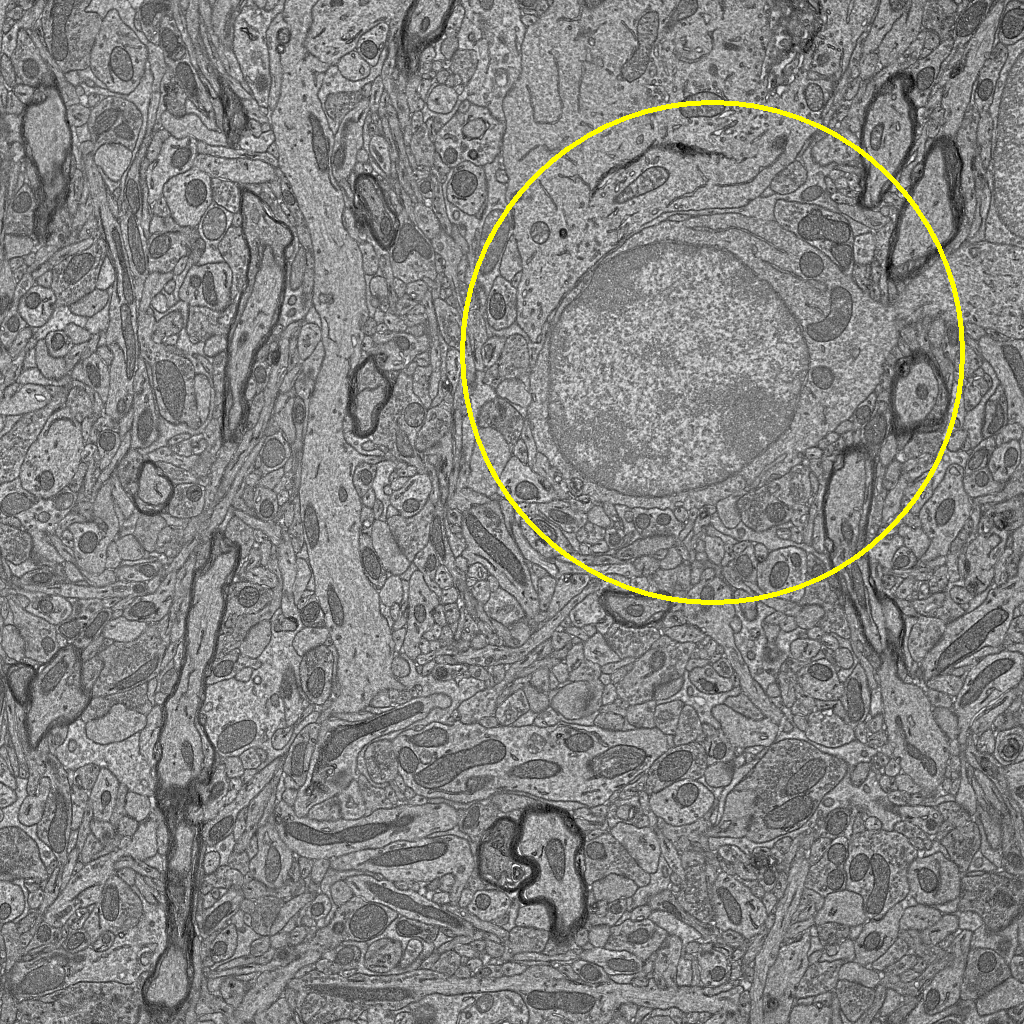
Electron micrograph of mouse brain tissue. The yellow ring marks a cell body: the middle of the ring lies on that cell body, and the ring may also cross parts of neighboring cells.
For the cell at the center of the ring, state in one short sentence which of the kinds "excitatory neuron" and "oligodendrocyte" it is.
This ring's center lies on an oligodendrocyte.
